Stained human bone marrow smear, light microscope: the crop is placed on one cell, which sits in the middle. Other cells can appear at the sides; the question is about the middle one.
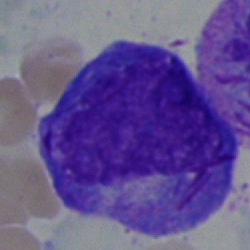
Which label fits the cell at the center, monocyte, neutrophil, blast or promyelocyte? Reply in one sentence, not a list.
The centered cell in this crop is a promyelocyte.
